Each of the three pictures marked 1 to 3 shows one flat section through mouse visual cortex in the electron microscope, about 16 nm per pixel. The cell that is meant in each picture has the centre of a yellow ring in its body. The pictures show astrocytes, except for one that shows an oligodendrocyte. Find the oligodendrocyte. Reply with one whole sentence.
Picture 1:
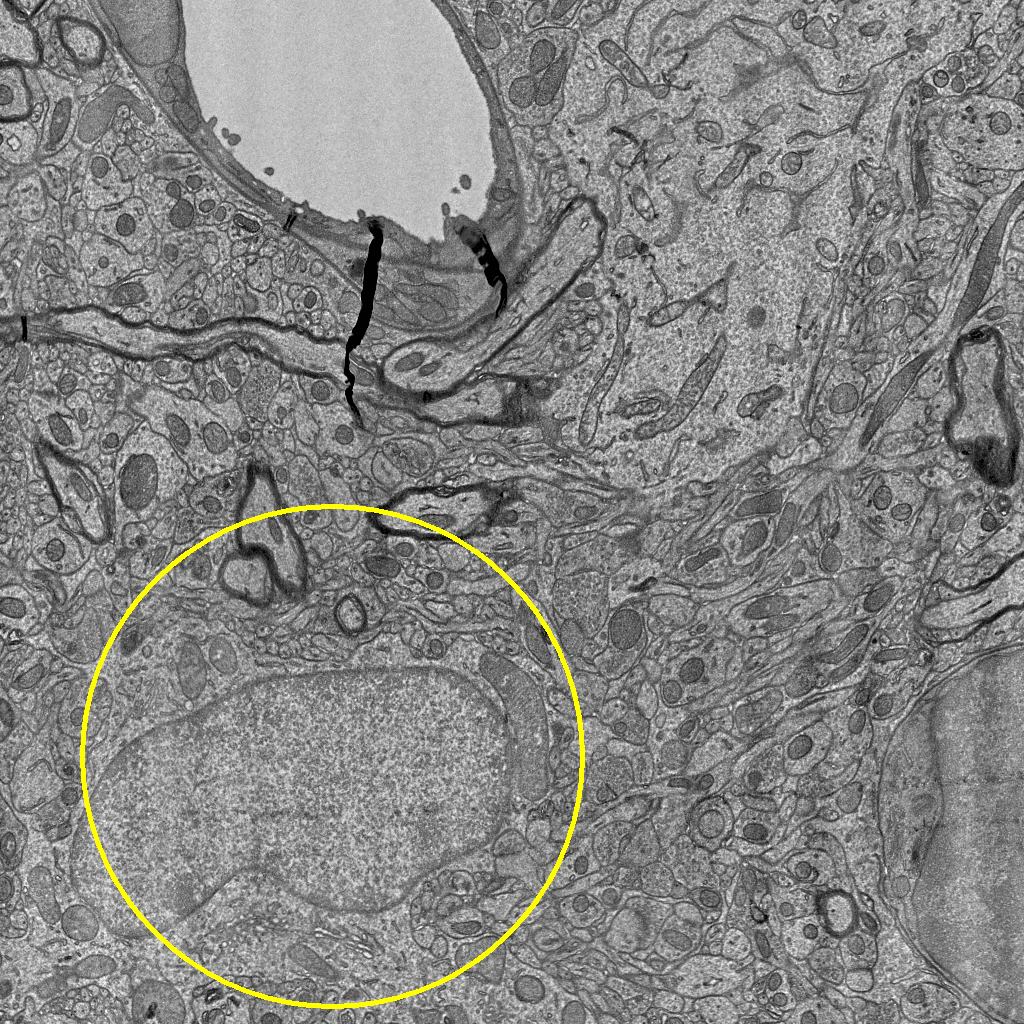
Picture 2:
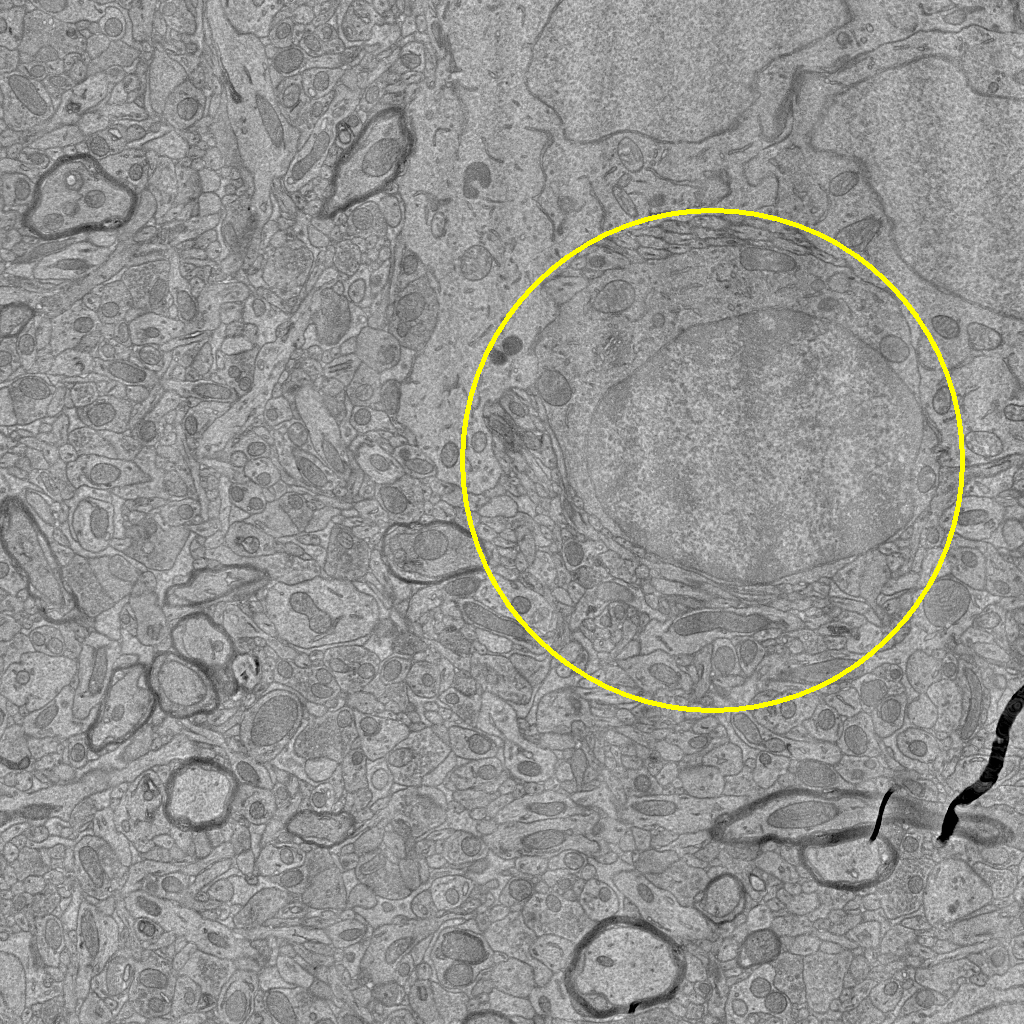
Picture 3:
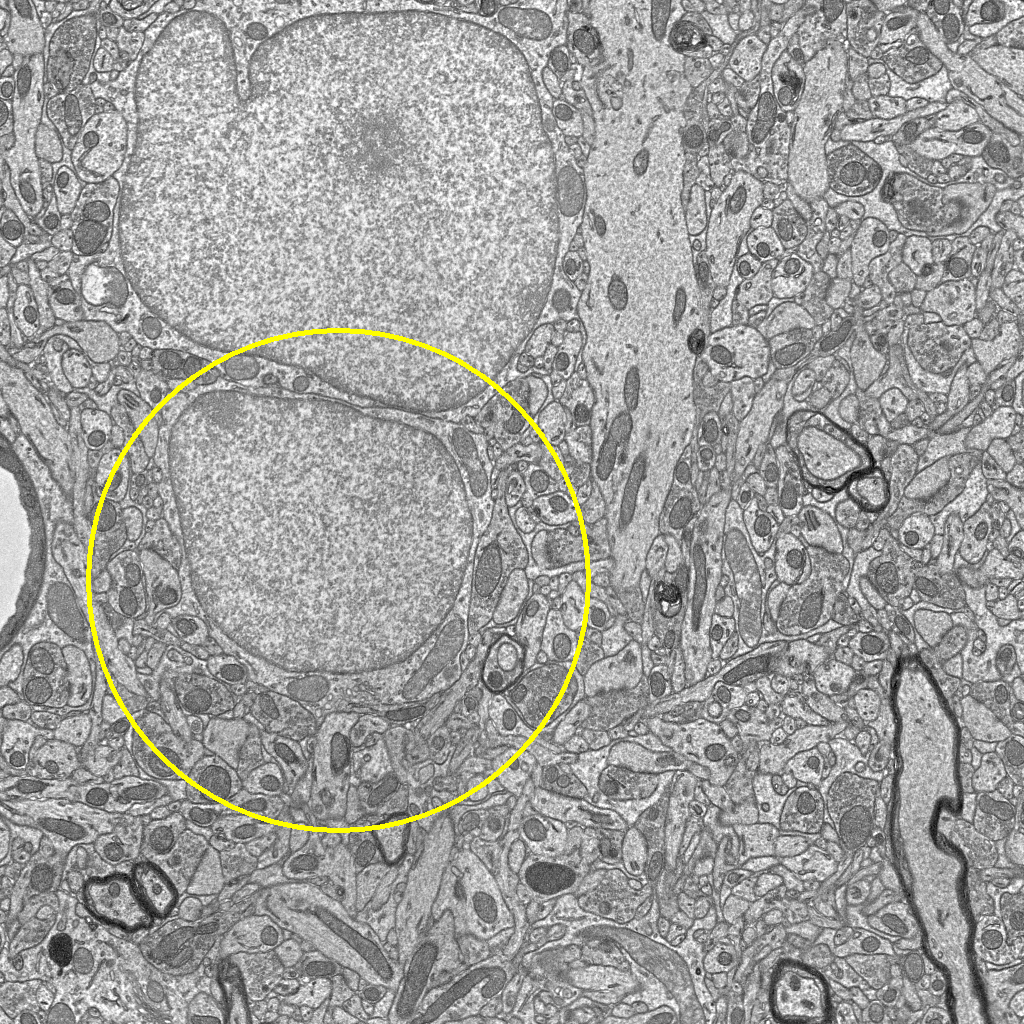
The picture with the oligodendrocyte is 2.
